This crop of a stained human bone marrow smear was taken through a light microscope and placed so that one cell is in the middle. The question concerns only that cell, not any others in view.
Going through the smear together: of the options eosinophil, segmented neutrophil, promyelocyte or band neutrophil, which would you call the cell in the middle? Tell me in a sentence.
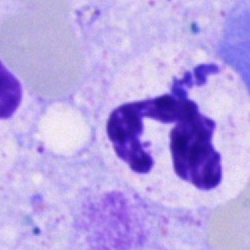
Seen at the centre of the crop is a segmented neutrophil.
